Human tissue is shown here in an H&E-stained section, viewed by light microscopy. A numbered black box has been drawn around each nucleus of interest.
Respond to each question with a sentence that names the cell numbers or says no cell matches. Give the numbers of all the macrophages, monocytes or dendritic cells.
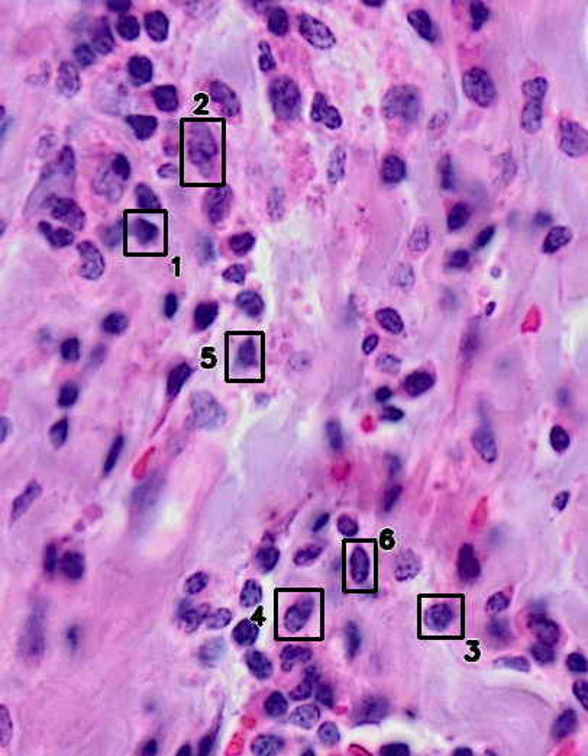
Among the cells marked with numbers, the only one that is a macrophage, monocyte or dendritic cell is number 2.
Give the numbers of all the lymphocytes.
The cells numbered 1, 3, 5 and 6 are of one kind: lymphocytes.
